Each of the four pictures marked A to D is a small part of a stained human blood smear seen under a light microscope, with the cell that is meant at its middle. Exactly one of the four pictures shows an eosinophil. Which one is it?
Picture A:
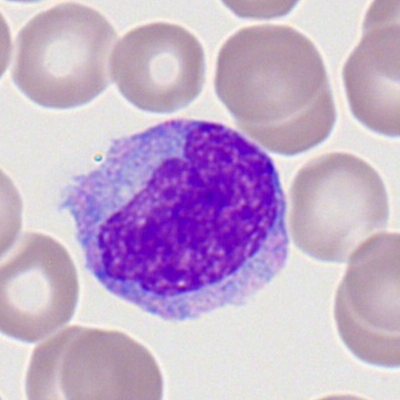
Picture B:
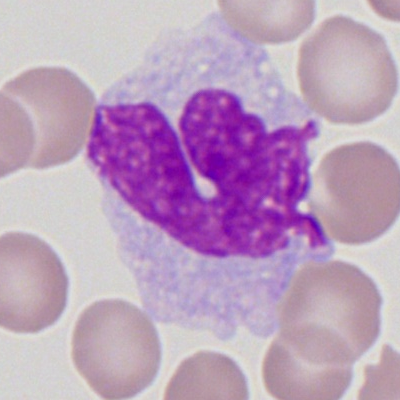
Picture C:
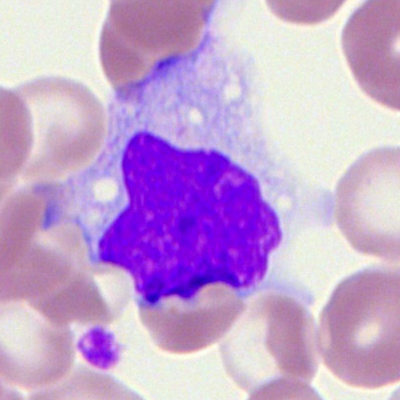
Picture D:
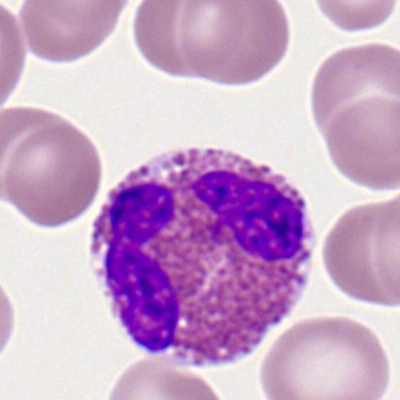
D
